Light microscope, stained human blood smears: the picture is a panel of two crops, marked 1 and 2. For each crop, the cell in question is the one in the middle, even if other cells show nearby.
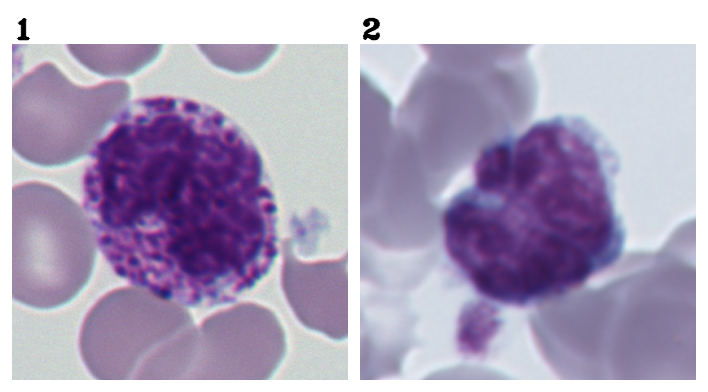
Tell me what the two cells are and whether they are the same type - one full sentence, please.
No, crop 1 is where a basophil is, and crop 2 is where a lymphocyte is.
